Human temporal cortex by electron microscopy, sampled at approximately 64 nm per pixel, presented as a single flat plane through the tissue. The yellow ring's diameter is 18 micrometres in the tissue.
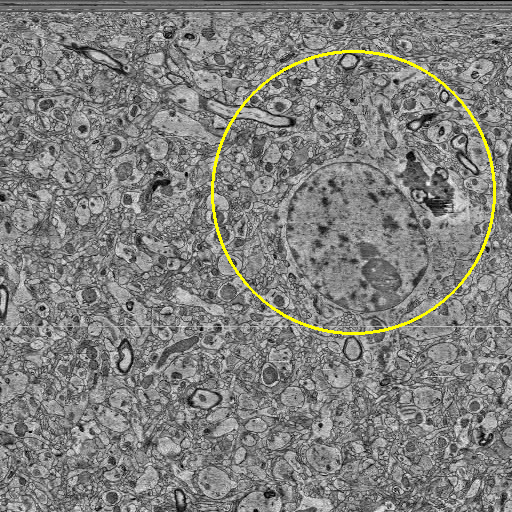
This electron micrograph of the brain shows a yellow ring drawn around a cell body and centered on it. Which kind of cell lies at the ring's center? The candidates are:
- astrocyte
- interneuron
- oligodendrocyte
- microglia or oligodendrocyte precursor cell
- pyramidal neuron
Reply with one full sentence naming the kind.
The cell lying at the ring's center in this micrograph is an astrocyte.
